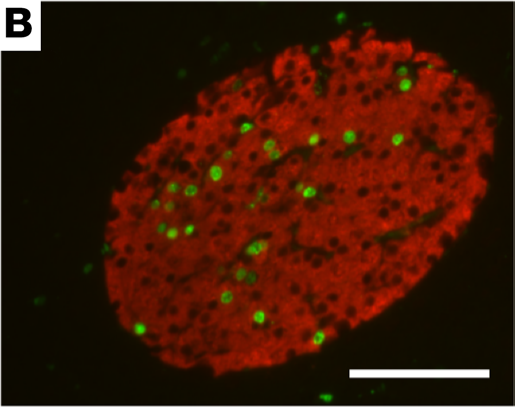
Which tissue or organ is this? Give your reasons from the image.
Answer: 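A compact, sharply bounded oval cluster of cells. The cluster is set apart from dark surrounding tissue.
Conclusion: islets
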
